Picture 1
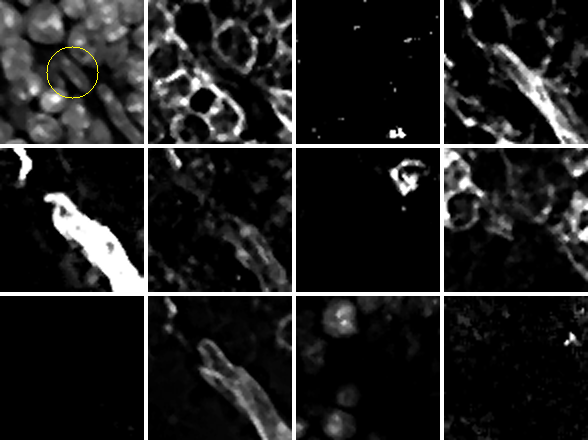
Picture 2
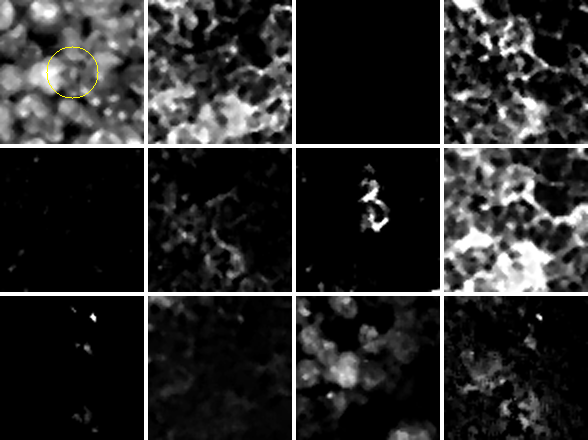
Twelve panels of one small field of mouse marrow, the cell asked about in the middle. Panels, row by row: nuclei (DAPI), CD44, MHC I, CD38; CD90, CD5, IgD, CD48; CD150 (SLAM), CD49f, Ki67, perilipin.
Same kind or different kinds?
Different: the first is a capillary endothelial cell, the second a B cell.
